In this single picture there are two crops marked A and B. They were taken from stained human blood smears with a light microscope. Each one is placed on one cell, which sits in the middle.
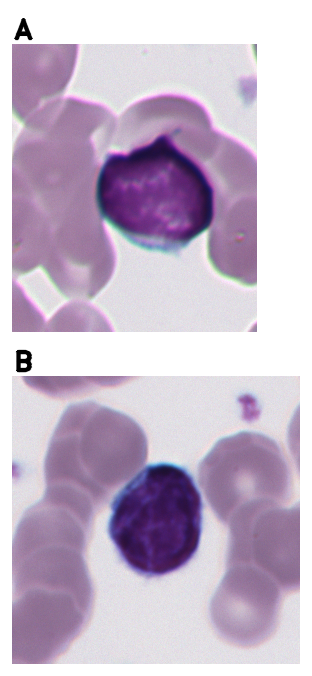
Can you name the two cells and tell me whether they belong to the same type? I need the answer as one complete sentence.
Yes, the cells at the middle of both crops are lymphocytes.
